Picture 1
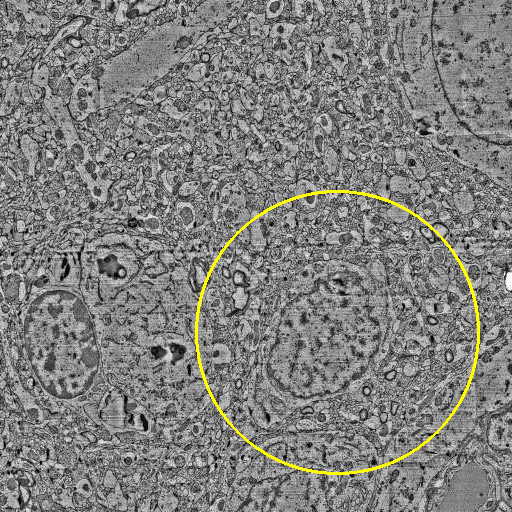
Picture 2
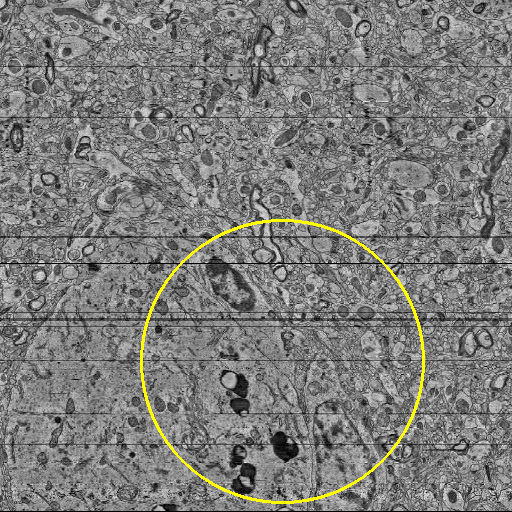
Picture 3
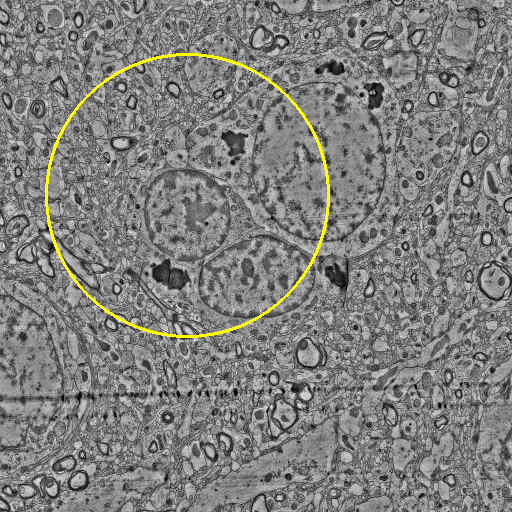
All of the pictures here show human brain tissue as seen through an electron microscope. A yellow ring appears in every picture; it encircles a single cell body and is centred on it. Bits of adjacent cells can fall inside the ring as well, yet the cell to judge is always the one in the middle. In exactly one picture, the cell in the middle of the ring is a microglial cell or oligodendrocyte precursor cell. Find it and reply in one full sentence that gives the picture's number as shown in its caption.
Of all the pictures, picture 2 has the right cell at the centre of its ring.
